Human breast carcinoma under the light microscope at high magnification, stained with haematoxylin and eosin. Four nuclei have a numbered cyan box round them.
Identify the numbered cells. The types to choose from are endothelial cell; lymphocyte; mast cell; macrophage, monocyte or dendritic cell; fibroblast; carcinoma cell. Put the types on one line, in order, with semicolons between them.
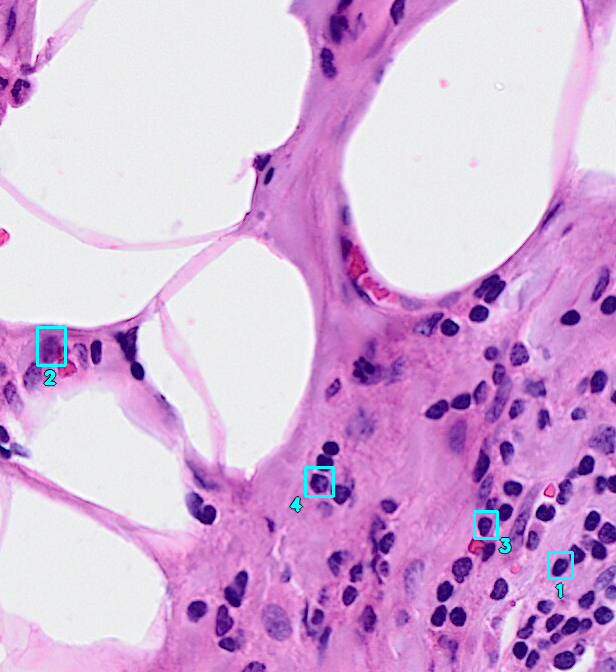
lymphocyte; endothelial cell; lymphocyte; lymphocyte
